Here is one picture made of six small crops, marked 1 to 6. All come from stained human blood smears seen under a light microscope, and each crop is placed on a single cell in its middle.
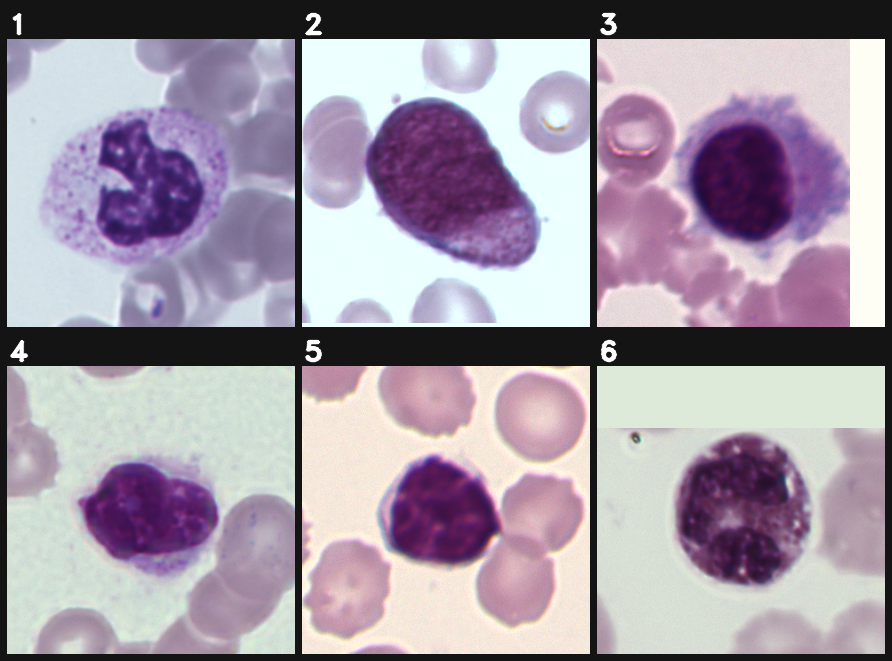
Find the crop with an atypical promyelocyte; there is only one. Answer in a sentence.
On review of the set, crop 2 is the one showing an atypical promyelocyte.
